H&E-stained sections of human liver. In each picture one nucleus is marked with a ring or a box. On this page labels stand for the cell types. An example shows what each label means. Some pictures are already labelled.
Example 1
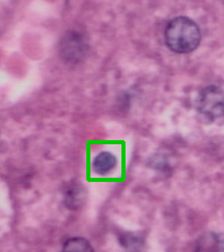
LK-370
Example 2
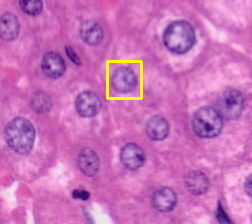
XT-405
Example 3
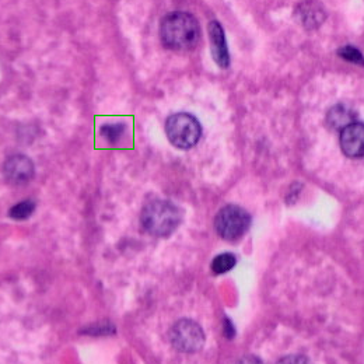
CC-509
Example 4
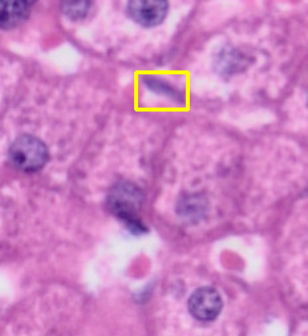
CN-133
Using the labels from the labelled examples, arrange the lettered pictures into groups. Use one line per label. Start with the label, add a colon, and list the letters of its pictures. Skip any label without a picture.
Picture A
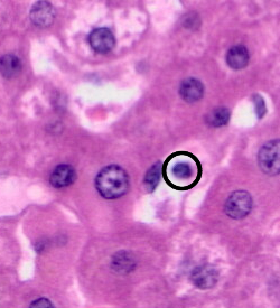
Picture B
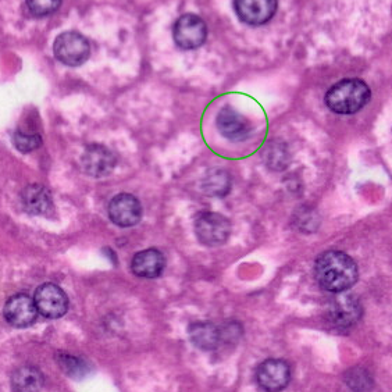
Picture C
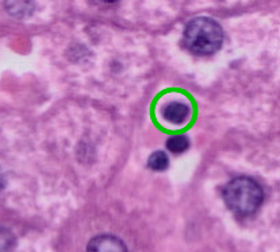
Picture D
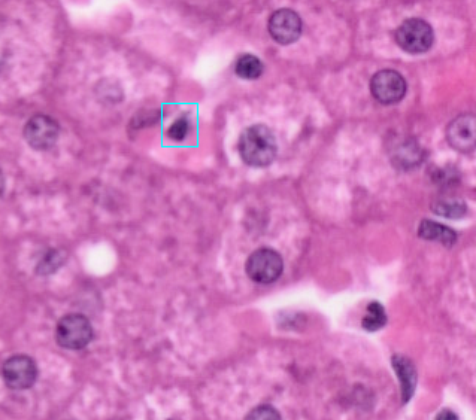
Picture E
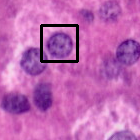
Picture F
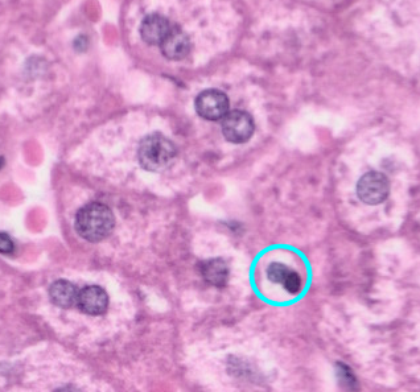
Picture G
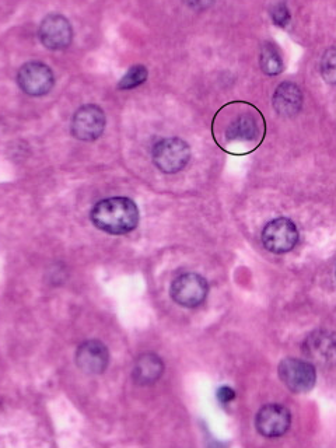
LK-370: A, C, D, F
XT-405: E
CC-509: B, G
